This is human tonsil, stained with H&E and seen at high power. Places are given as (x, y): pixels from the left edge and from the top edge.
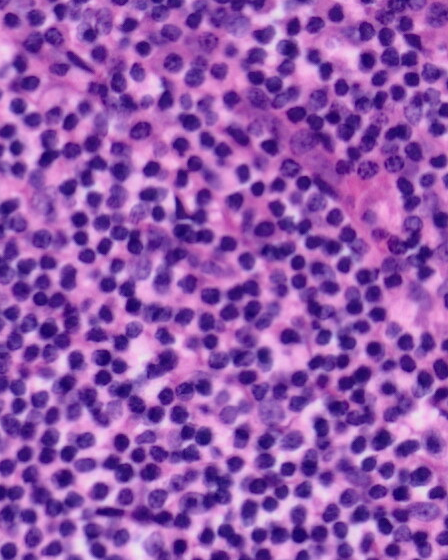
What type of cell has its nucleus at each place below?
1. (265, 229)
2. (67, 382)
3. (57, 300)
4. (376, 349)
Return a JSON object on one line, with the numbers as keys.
{"1": "plasma cell", "2": "small lymphocyte", "3": "small lymphocyte", "4": "small lymphocyte"}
